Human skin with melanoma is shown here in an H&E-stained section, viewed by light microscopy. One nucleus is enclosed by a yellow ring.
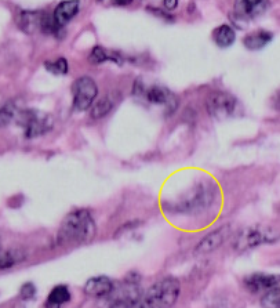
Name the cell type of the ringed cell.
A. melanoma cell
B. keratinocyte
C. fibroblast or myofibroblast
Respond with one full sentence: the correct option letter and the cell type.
Of all the options, A is right, since the ringed cell is a melanoma cell.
